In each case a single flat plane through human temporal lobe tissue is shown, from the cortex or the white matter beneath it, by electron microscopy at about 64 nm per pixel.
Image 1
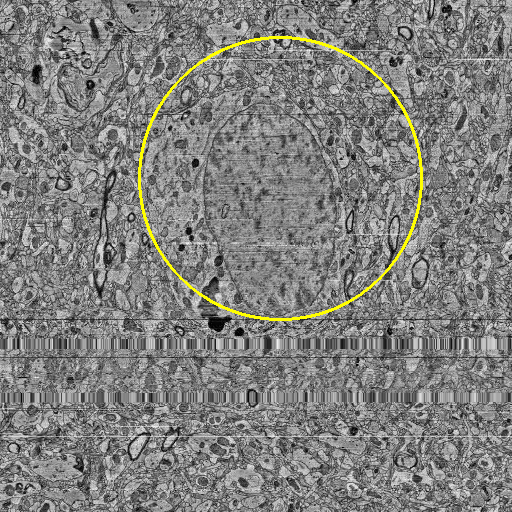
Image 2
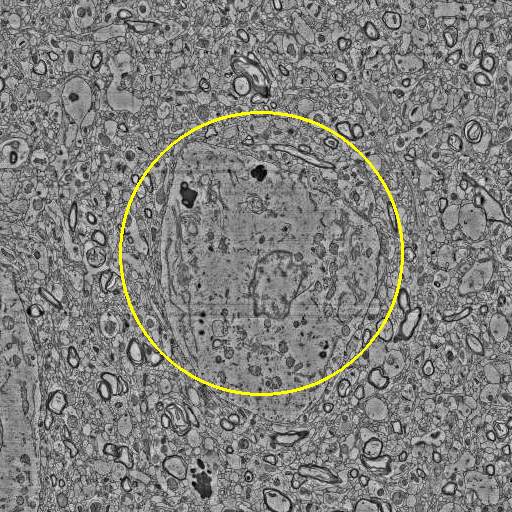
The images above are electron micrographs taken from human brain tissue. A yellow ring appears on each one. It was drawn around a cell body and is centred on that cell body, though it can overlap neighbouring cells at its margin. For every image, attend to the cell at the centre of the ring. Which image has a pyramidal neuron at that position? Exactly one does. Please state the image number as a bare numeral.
2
